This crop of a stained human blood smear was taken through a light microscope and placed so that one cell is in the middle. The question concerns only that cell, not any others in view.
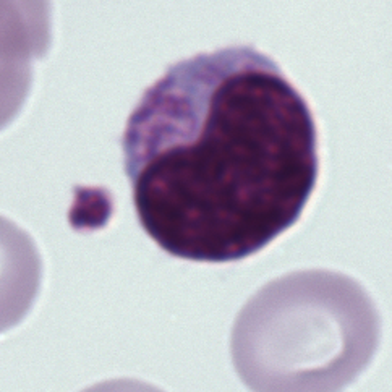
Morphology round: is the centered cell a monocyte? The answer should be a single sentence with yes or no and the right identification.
No, the central cell is classed as a large granular lymphocyte, not a monocyte.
